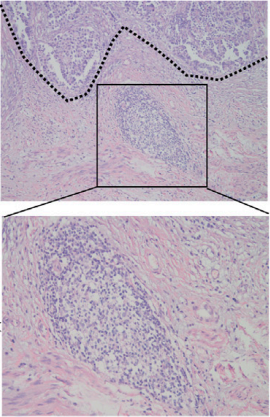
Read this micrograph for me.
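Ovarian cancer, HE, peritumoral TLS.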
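At low power a dotted line marks the edge of the tumor epithelium above, while below it lies pink fibrous stroma containing an oval, sharply bounded cluster. At higher power the cluster consists of densely packed small round cells with dark-blue nuclei and little cytoplasm, forming a well-circumscribed nodule. Around it, spindle-shaped stromal cells with elongated nuclei lie in wavy pink collagen, so the aggregate stands out clearly against the paler surrounding tissue.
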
